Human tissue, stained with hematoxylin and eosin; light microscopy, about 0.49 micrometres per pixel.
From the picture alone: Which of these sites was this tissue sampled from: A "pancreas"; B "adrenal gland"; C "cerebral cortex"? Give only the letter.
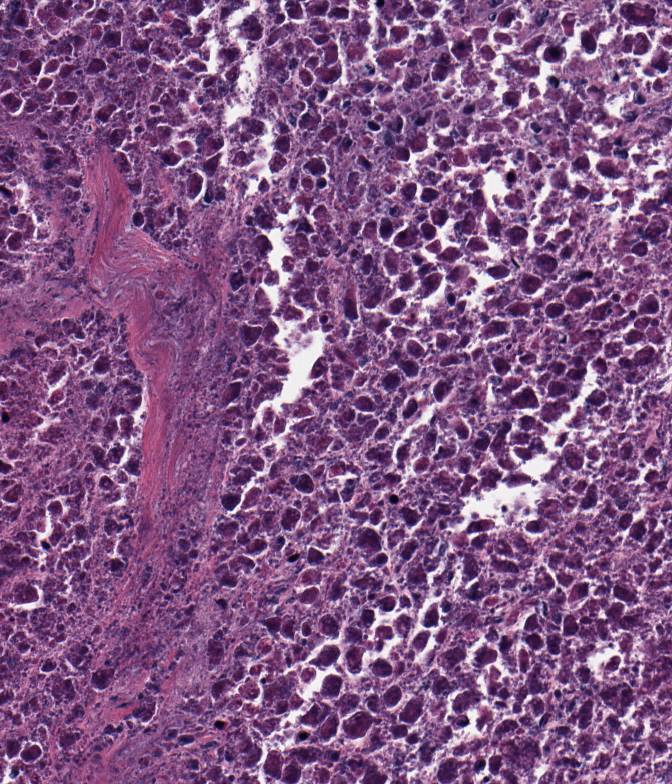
A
